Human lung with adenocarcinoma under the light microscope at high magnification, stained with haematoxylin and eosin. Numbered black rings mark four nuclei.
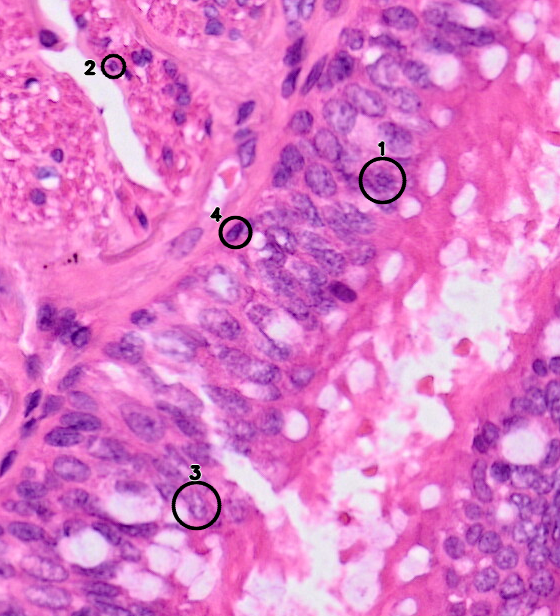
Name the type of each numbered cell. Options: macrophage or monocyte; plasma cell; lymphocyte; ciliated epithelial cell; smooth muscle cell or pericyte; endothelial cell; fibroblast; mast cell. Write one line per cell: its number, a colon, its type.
1: ciliated epithelial cell
2: smooth muscle cell or pericyte
3: ciliated epithelial cell
4: ciliated epithelial cell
